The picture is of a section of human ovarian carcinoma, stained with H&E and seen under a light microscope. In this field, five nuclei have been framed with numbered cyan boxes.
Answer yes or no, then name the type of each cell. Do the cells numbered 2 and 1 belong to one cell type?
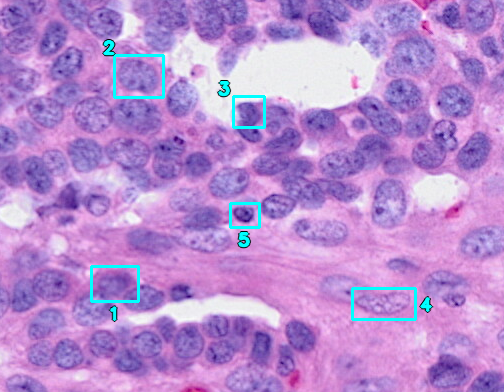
Yes, cells 2 and 1 are both carcinoma cells and thus of one type.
